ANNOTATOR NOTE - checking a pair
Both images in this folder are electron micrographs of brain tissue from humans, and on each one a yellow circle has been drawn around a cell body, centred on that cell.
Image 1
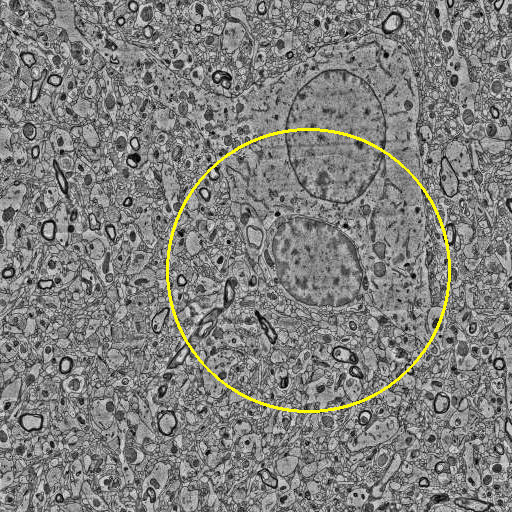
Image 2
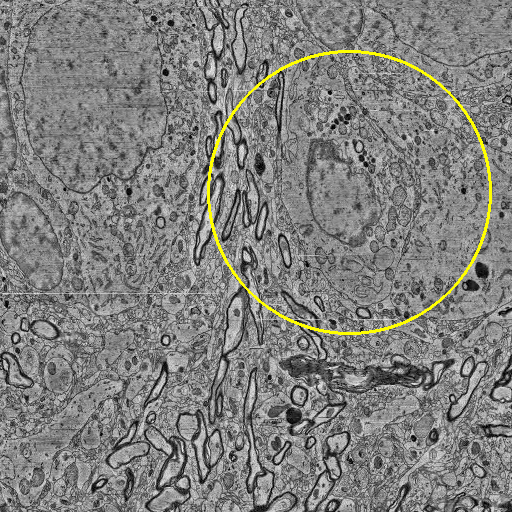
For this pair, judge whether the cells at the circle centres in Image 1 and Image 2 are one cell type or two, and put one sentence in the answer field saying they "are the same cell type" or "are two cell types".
For this pair, the cells at the circle centres in Images 1 and 2 are two cell types.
